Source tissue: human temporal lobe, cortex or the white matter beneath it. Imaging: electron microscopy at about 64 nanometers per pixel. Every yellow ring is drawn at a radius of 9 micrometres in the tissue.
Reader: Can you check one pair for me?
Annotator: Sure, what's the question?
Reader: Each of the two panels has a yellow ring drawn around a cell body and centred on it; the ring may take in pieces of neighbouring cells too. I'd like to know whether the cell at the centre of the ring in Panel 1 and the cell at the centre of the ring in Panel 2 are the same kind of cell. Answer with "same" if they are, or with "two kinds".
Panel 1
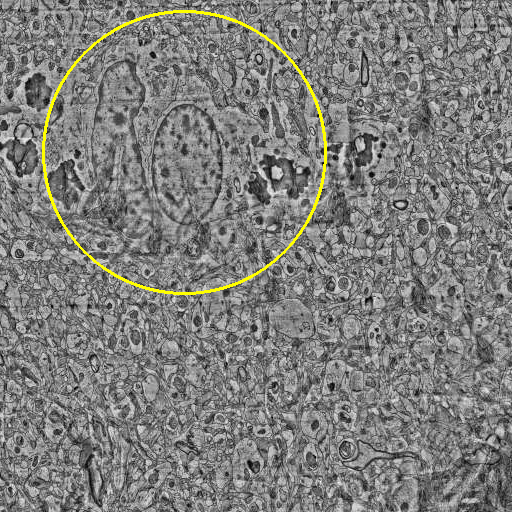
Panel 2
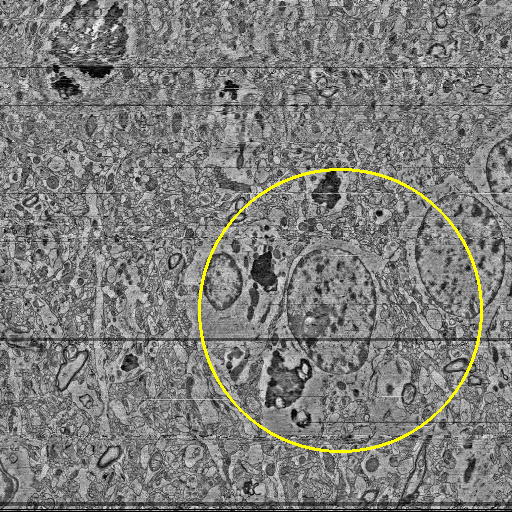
same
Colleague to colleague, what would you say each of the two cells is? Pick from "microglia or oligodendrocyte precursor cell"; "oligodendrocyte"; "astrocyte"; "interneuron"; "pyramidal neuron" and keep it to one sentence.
Each cell, in the first picture and the second, is an astrocyte.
